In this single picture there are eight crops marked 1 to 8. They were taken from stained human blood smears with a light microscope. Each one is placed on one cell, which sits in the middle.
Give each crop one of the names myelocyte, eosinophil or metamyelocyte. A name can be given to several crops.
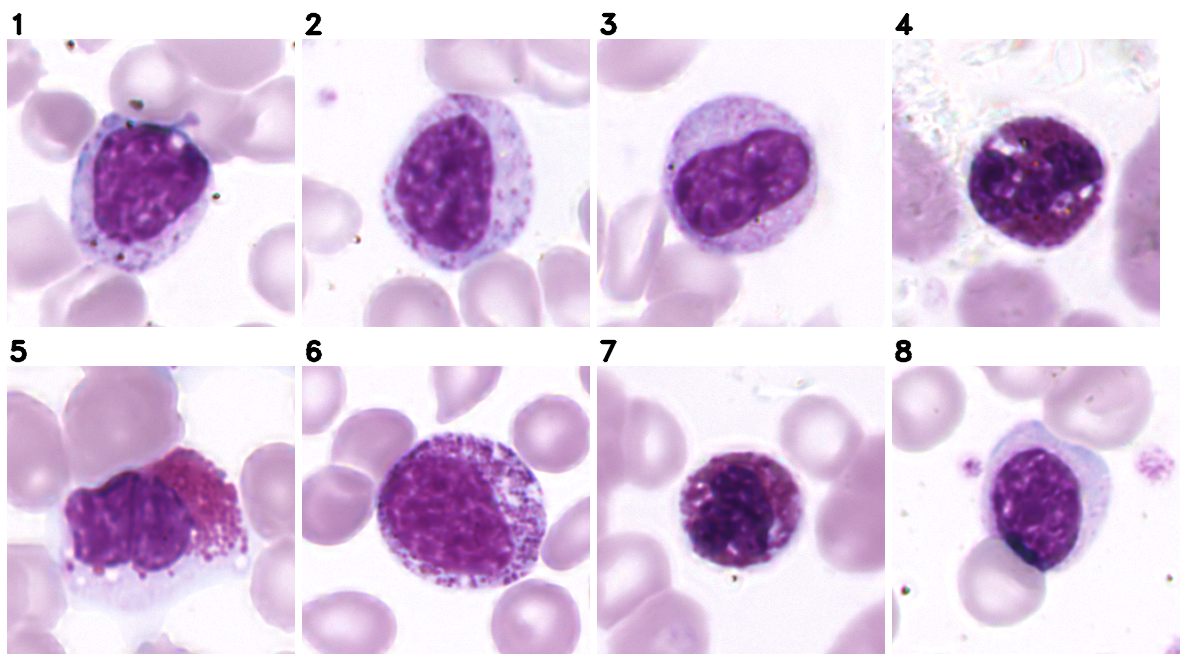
1: metamyelocyte
2: metamyelocyte
3: metamyelocyte
4: eosinophil
5: eosinophil
6: myelocyte
7: eosinophil
8: metamyelocyte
